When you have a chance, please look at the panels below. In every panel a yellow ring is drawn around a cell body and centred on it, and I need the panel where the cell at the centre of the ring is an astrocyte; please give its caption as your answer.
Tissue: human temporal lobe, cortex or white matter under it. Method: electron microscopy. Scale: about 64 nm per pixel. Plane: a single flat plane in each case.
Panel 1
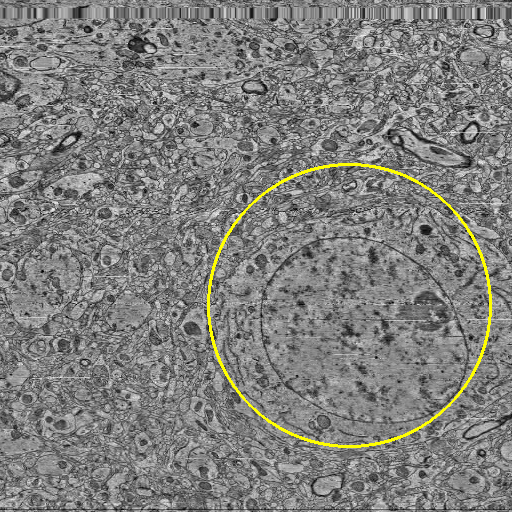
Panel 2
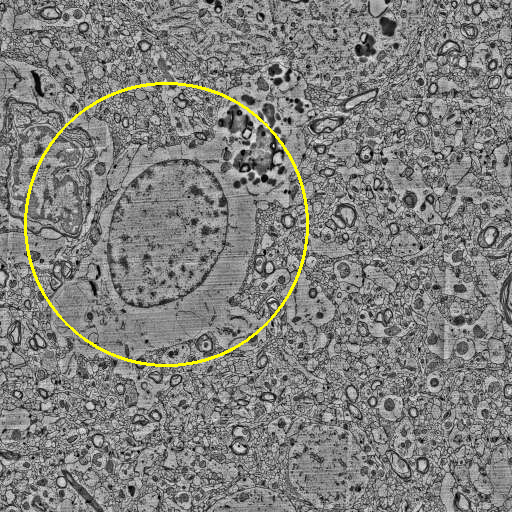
Panel 2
